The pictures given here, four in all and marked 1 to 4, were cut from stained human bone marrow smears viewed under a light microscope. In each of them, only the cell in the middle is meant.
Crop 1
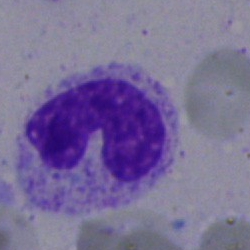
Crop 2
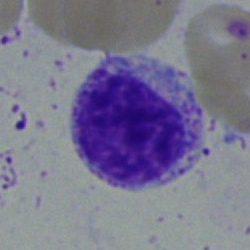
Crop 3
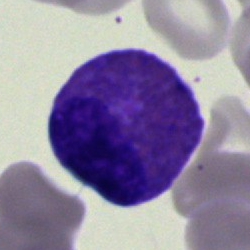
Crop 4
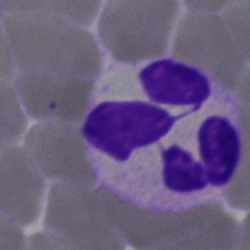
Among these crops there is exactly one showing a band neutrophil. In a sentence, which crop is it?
On review of the set, crop 1 is the one showing a band neutrophil.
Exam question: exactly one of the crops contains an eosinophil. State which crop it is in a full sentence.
The requested cell, an eosinophil, is the one in crop 3.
